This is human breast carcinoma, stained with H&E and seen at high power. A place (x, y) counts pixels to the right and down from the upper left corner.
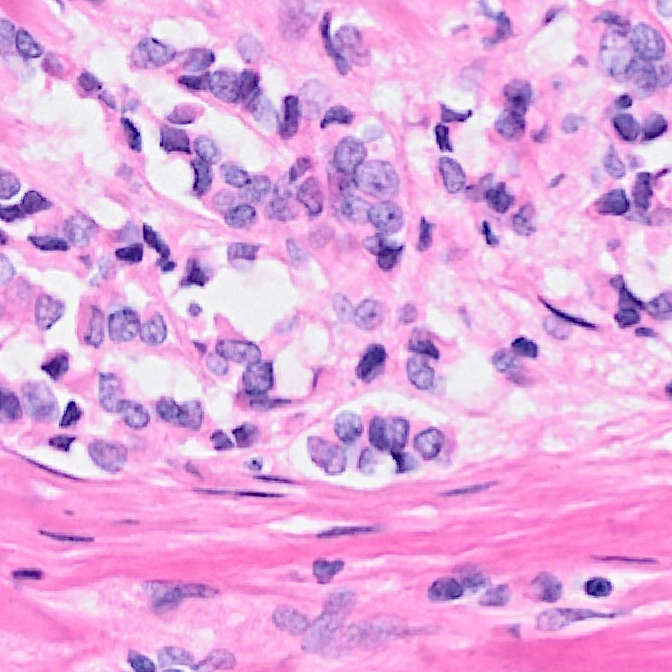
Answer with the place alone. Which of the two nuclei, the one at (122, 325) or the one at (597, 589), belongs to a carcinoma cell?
(122, 325)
